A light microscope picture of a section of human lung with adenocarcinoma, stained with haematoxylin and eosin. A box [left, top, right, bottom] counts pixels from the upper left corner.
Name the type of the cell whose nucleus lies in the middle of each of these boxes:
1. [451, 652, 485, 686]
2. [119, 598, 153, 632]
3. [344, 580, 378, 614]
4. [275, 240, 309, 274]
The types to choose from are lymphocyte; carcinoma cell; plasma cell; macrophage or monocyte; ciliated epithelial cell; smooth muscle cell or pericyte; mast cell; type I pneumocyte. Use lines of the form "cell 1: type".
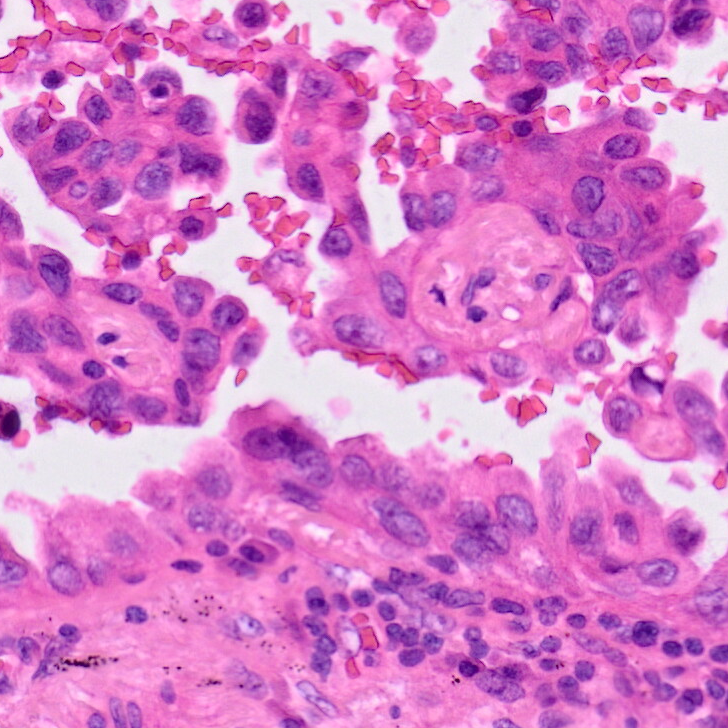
cell 1: plasma cell
cell 2: mast cell
cell 3: lymphocyte
cell 4: macrophage or monocyte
